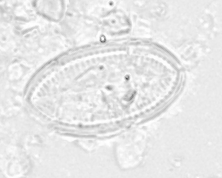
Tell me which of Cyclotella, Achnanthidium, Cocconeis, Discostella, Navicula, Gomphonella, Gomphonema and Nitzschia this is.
The picture shows Cocconeis.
